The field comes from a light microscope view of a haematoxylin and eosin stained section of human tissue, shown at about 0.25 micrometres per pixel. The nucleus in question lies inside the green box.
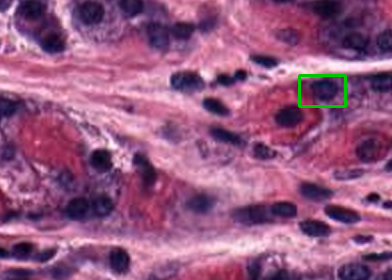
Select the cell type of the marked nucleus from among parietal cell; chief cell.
chief cell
